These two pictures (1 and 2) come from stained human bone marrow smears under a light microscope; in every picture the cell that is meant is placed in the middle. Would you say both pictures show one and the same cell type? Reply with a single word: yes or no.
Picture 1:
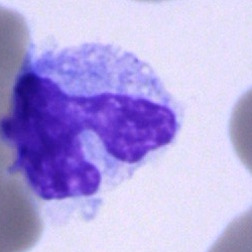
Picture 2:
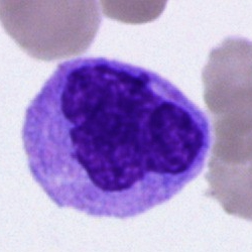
yes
